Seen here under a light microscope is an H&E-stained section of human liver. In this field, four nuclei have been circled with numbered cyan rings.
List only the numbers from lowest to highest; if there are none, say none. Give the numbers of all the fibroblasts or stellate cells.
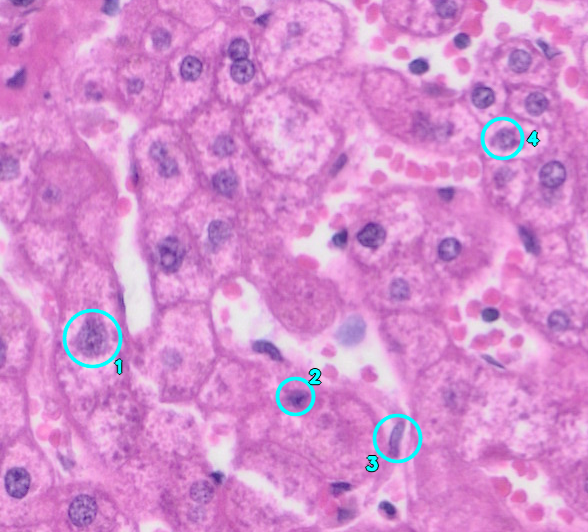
2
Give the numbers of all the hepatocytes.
1, 4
